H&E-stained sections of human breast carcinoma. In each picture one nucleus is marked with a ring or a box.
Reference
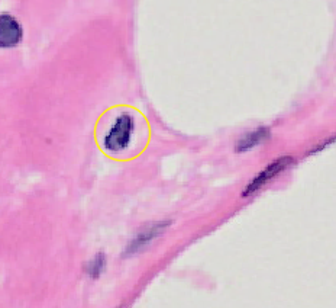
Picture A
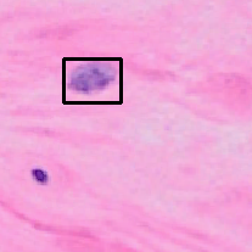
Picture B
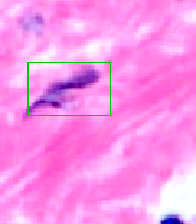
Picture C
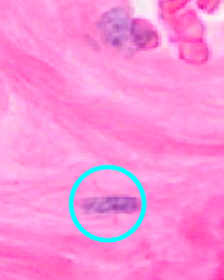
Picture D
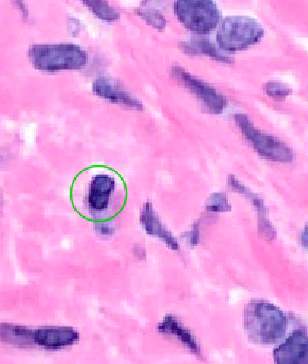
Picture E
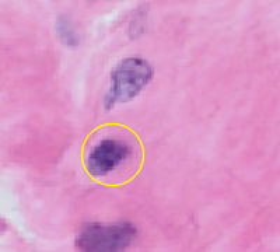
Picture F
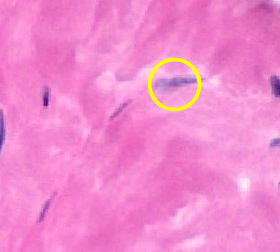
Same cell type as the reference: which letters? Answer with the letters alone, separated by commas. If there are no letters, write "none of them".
D, E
